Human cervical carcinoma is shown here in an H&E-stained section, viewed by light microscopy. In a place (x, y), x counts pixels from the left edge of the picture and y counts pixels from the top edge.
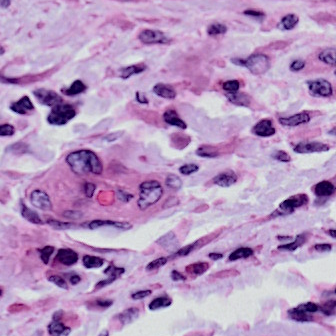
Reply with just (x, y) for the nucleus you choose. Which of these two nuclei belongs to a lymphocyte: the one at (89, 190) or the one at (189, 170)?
(189, 170)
